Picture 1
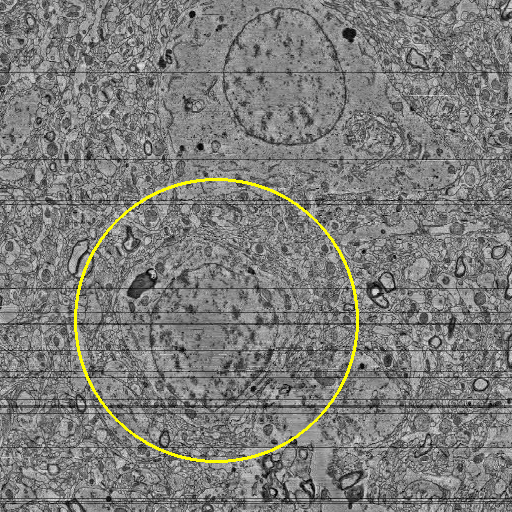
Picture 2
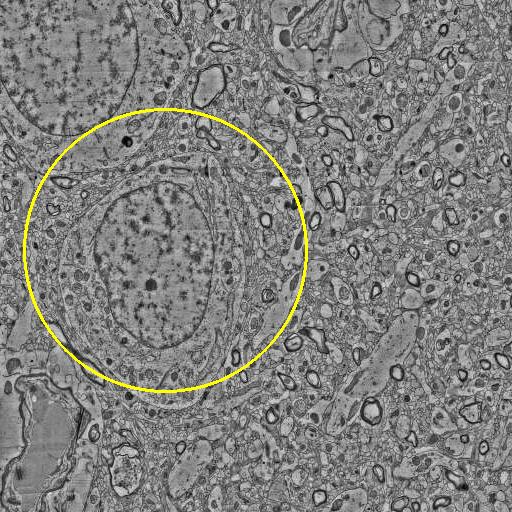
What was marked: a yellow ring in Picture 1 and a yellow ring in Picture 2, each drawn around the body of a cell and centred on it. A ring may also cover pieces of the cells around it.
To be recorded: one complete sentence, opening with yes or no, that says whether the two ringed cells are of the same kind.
Yes, the two ringed cells are of the same kind.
